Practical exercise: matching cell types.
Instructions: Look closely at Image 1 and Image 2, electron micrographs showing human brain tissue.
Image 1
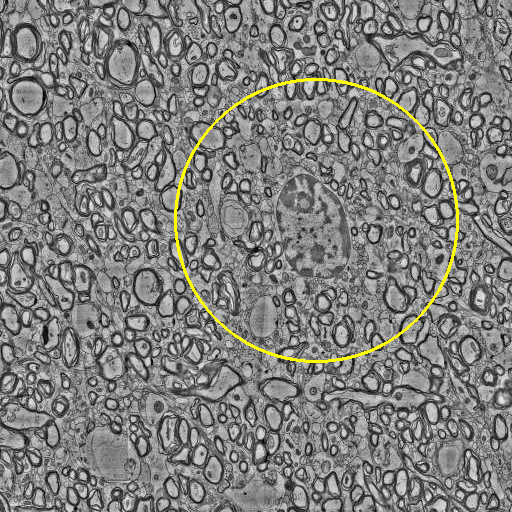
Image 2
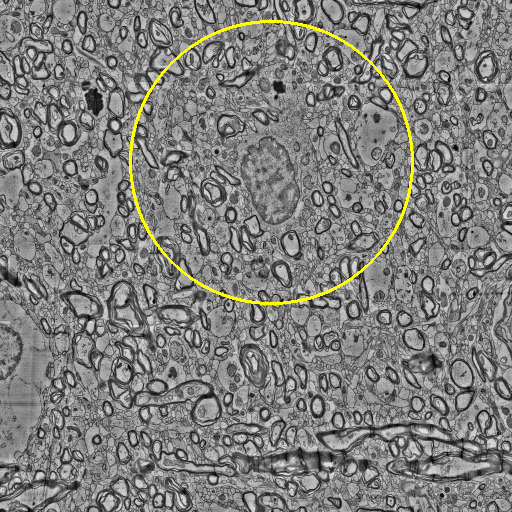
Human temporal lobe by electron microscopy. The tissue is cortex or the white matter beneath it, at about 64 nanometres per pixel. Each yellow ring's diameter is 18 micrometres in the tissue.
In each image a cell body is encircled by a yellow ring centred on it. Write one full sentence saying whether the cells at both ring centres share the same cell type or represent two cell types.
Across Image 1 and Image 2, the cells at the ring centres represent two cell types.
